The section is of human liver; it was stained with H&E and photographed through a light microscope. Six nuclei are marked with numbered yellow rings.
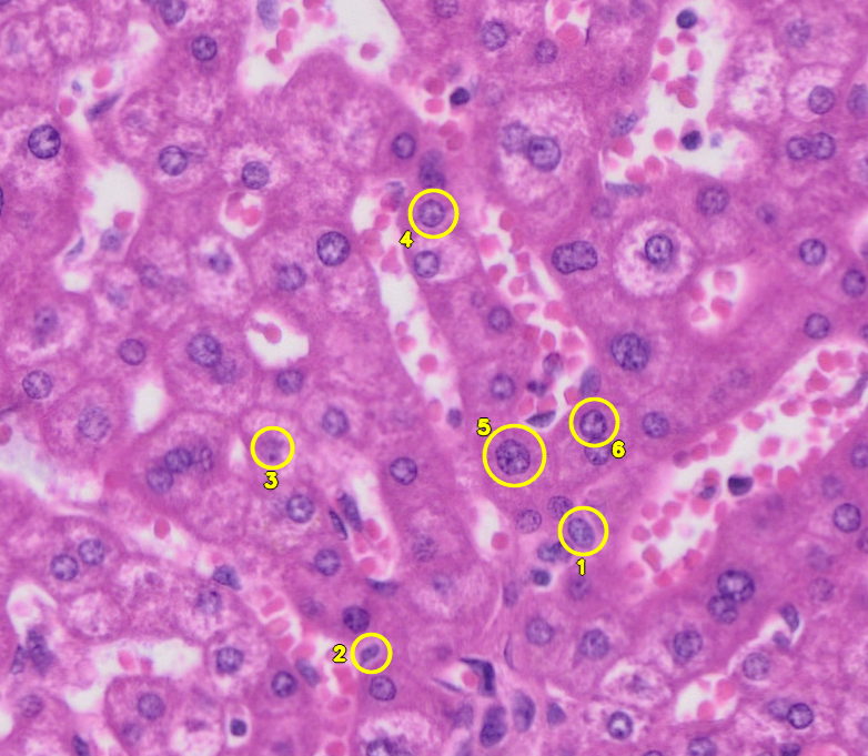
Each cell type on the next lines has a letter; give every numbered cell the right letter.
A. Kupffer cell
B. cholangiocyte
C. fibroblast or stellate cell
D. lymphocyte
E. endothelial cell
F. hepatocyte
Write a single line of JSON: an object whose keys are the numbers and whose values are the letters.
{"1": "B", "2": "C", "3": "F", "4": "F", "5": "F", "6": "F"}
